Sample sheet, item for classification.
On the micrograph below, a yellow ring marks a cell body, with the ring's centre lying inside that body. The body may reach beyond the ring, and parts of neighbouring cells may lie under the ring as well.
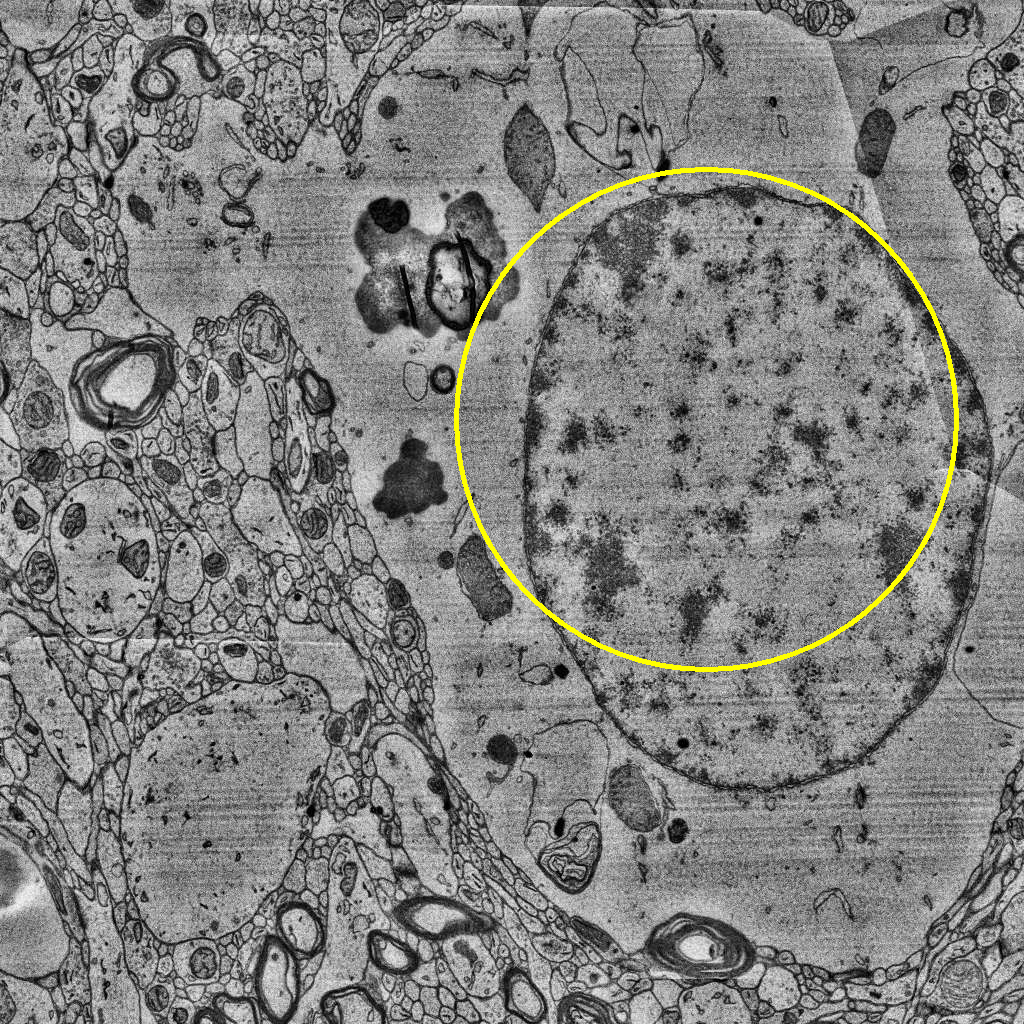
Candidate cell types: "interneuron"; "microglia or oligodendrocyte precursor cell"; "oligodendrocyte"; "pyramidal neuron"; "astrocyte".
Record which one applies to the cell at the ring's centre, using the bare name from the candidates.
astrocyte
